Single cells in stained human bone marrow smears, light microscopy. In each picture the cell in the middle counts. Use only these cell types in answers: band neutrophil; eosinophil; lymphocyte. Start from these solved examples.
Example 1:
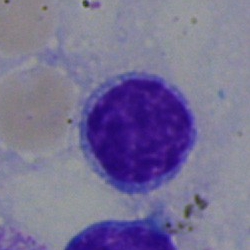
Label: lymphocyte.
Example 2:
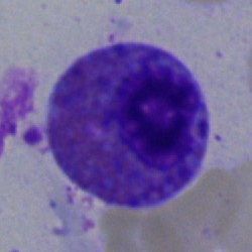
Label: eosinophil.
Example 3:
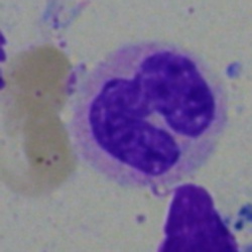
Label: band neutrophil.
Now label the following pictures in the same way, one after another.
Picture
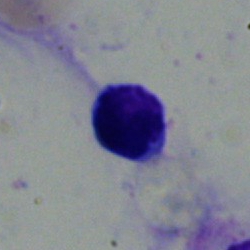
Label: lymphocyte.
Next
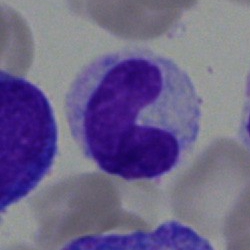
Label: band neutrophil.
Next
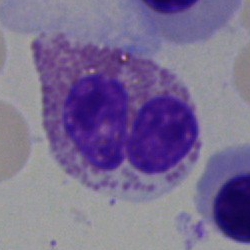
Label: eosinophil.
